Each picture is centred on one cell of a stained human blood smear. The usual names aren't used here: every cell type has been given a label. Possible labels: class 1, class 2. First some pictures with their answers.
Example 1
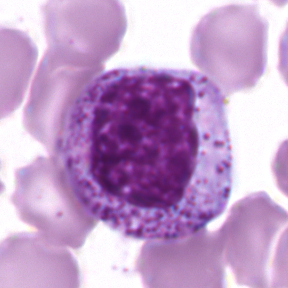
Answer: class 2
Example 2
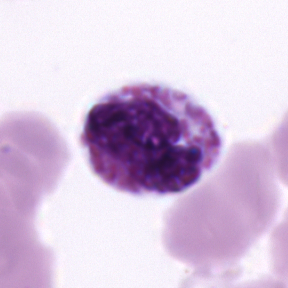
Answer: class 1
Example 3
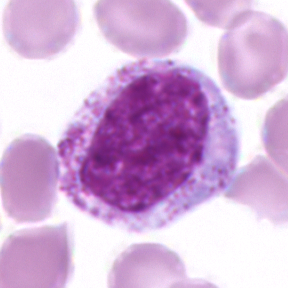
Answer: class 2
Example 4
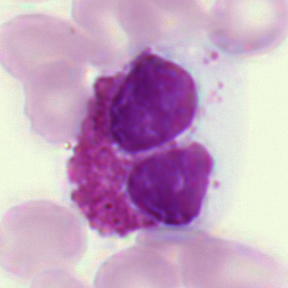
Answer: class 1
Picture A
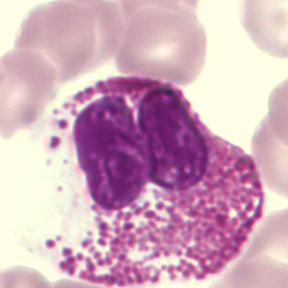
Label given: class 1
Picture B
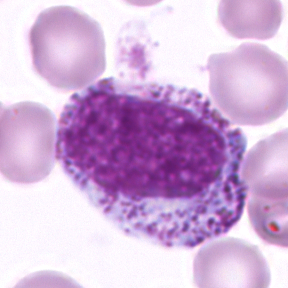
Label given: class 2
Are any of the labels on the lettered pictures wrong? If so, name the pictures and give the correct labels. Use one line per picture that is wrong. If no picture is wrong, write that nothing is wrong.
None of the labels needs changing.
